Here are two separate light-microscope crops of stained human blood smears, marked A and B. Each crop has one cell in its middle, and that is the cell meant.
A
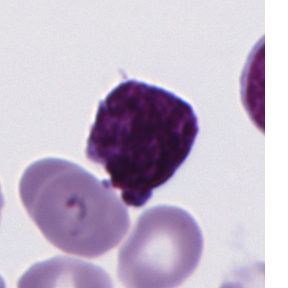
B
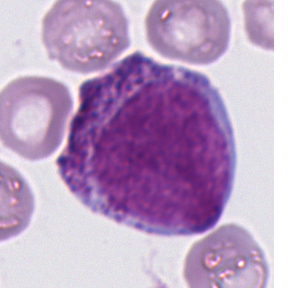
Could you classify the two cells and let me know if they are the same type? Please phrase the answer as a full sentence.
No, the cell that crop A shows is a myeloblast, and the one crop B shows is a promyelocyte.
